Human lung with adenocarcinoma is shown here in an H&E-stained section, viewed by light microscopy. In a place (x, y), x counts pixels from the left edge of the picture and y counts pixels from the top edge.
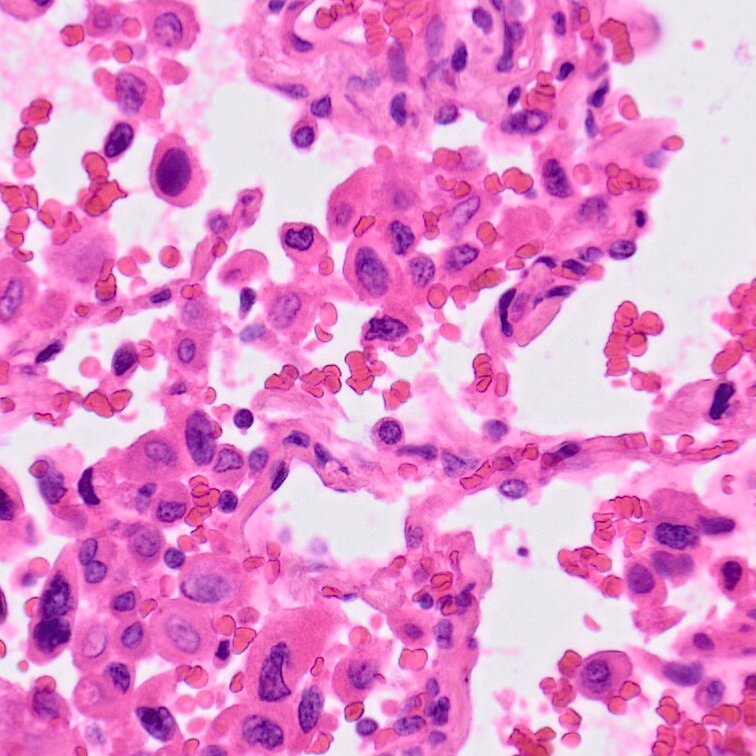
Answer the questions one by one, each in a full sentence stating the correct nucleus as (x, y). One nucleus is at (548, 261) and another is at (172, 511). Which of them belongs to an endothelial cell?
Identified as belonging to an endothelial cell is the nucleus at (548, 261).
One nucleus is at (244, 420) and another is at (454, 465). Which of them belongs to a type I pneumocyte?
The nucleus found at (454, 465) belongs to a type I pneumocyte.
